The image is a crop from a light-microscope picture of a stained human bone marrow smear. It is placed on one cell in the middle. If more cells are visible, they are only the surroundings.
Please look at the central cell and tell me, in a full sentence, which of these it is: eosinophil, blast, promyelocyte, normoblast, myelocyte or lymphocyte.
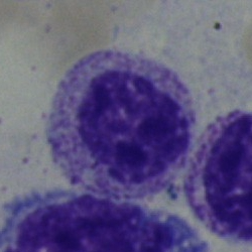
At the crop's centre, the cell is a myelocyte.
